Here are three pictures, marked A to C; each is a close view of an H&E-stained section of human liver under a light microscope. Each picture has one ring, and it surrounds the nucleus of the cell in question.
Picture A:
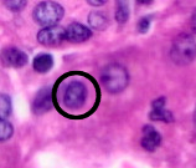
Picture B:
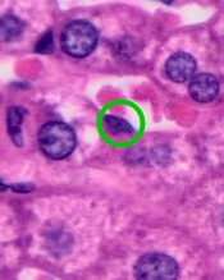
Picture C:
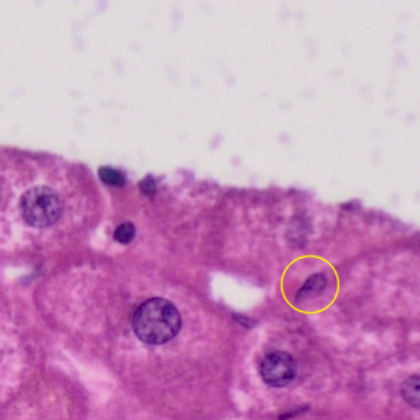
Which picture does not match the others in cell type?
A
